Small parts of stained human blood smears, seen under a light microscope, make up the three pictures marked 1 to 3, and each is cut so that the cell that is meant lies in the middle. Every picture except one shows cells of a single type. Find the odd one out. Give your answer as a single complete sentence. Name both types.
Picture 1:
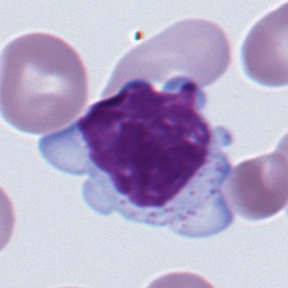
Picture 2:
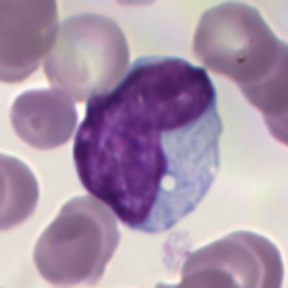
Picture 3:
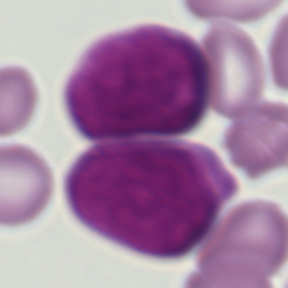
All pictures except 1 show myeloblasts; picture 1 shows a large granular lymphocyte.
